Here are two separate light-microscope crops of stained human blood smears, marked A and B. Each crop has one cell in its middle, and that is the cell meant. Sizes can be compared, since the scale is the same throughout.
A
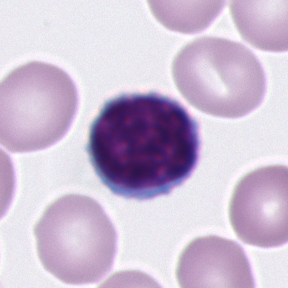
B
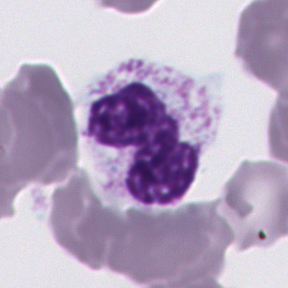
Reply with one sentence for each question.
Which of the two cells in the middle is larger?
It is the cell in crop B, about 1.5 times as large in area as the cell in crop A.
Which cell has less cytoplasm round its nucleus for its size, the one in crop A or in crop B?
Of the two, the nucleus in crop A makes up the greater part of its cell.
